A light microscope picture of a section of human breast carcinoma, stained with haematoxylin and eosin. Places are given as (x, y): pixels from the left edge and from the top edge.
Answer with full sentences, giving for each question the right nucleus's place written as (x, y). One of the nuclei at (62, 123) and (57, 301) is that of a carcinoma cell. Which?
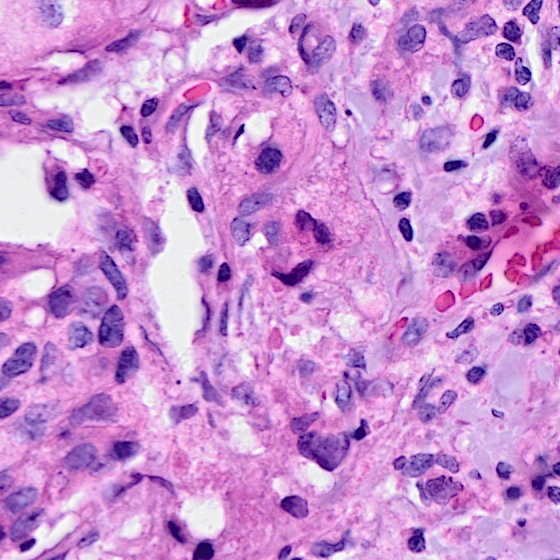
Of the two nuclei, the nucleus belonging to a carcinoma cell is located at (57, 301).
